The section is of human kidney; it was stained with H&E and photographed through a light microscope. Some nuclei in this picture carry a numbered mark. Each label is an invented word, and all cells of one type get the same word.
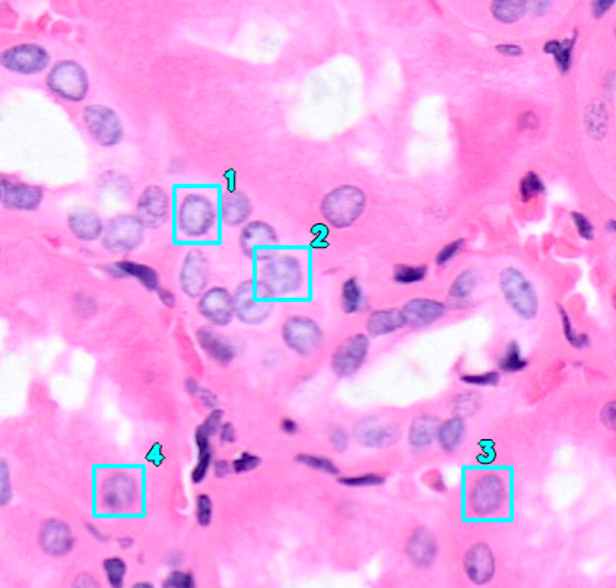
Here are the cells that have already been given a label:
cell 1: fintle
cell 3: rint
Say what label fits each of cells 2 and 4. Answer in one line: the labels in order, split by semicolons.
fintle; rint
